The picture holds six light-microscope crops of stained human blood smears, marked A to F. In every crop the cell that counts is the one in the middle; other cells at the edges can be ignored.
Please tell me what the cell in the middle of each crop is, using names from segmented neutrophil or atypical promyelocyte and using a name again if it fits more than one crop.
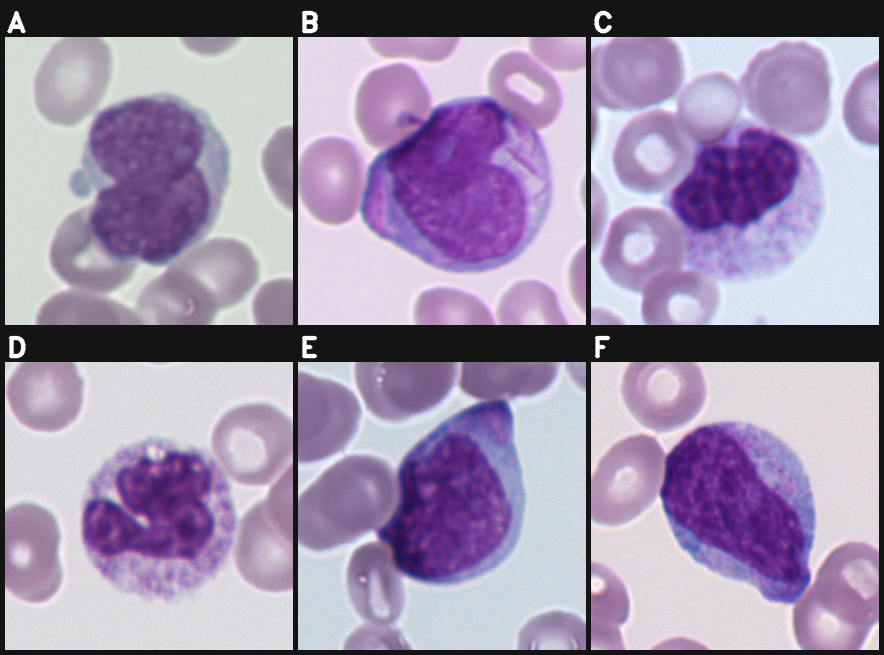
A: atypical promyelocyte
B: atypical promyelocyte
C: segmented neutrophil
D: segmented neutrophil
E: atypical promyelocyte
F: atypical promyelocyte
